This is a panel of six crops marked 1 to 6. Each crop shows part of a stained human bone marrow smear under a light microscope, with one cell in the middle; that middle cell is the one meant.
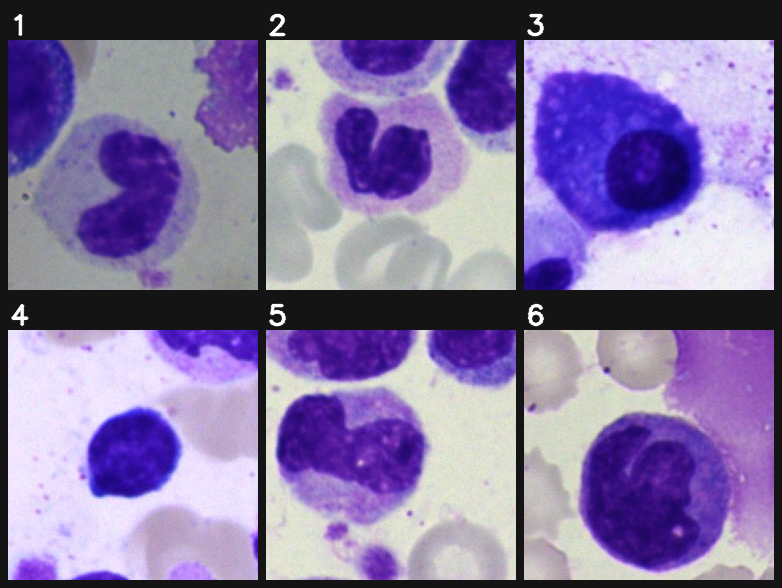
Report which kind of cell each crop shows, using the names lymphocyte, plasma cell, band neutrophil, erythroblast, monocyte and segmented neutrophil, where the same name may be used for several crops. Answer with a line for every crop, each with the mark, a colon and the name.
1: band neutrophil
2: segmented neutrophil
3: plasma cell
4: lymphocyte
5: band neutrophil
6: monocyte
